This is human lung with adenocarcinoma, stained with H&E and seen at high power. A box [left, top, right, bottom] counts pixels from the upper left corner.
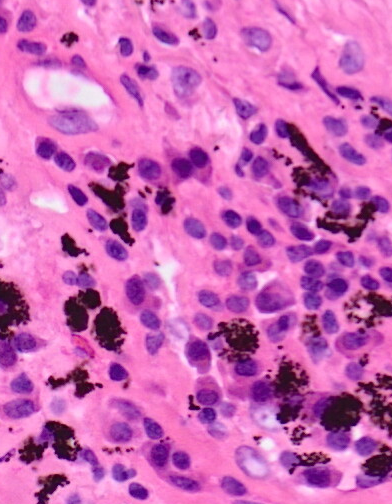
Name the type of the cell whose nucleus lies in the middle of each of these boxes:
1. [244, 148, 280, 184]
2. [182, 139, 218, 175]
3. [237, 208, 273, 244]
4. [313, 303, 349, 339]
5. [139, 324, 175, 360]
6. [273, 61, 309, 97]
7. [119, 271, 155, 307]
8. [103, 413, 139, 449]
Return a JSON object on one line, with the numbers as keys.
{"1": "plasma cell", "2": "plasma cell", "3": "lymphocyte", "4": "lymphocyte", "5": "lymphocyte", "6": "plasma cell", "7": "plasma cell", "8": "plasma cell"}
